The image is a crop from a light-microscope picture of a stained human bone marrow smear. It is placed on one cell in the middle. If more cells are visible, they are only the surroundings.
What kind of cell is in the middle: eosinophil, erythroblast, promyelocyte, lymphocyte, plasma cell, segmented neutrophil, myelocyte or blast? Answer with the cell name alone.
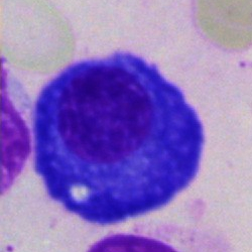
plasma cell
